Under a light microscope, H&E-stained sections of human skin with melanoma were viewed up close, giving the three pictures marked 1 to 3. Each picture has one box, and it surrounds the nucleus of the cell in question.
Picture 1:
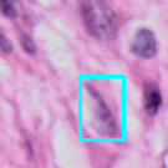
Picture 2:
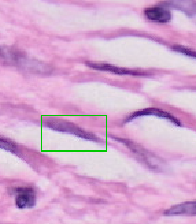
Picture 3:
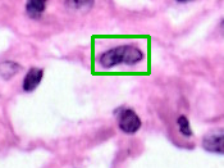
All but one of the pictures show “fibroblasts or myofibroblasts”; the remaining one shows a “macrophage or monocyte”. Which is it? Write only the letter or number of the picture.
3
